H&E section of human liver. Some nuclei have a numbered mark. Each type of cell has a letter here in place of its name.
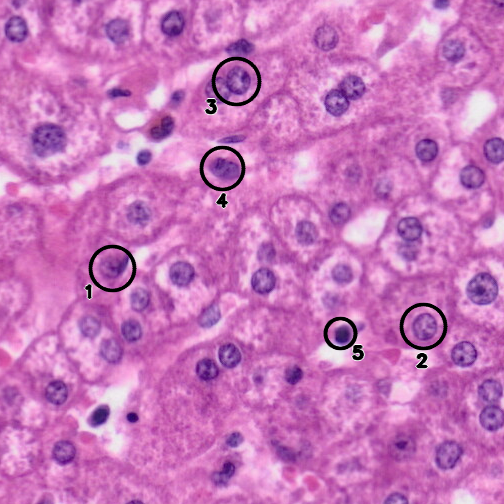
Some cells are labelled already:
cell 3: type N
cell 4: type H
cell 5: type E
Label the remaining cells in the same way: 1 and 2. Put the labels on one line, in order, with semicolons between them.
type N; type N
